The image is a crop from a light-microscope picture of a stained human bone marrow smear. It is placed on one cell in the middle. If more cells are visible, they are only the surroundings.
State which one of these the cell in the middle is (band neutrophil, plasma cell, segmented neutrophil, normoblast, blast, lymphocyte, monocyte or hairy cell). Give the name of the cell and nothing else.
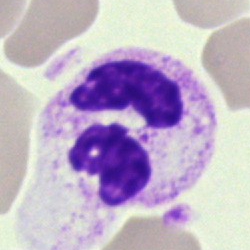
segmented neutrophil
